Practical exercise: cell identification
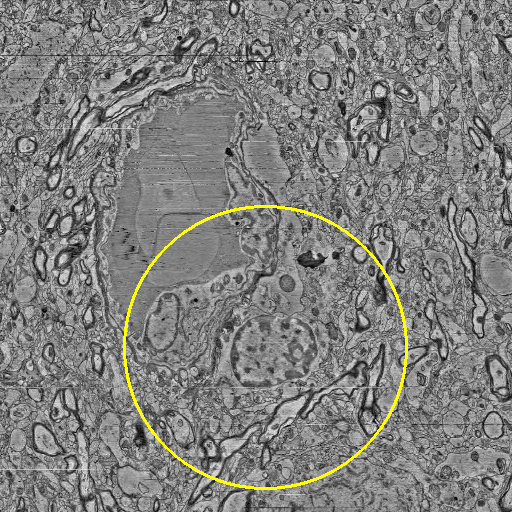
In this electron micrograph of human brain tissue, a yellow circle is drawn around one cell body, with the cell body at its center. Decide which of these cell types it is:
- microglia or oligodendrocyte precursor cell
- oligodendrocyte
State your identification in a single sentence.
The ringed cell is a microglial cell or oligodendrocyte precursor cell.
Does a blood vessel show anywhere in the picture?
Yes, the picture includes a blood vessel.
